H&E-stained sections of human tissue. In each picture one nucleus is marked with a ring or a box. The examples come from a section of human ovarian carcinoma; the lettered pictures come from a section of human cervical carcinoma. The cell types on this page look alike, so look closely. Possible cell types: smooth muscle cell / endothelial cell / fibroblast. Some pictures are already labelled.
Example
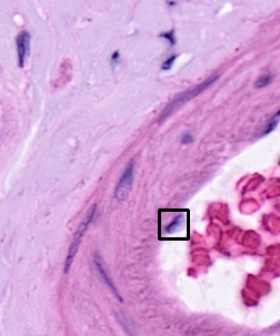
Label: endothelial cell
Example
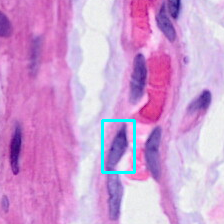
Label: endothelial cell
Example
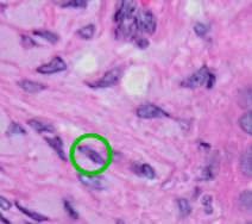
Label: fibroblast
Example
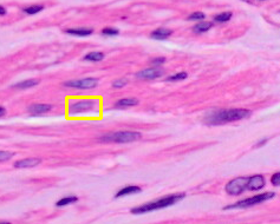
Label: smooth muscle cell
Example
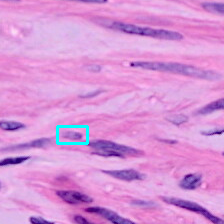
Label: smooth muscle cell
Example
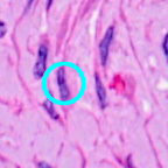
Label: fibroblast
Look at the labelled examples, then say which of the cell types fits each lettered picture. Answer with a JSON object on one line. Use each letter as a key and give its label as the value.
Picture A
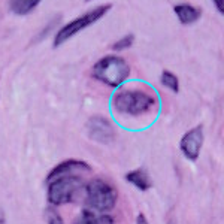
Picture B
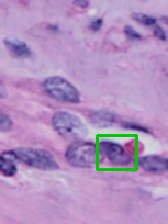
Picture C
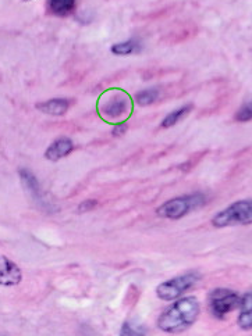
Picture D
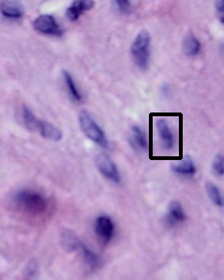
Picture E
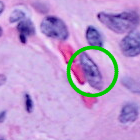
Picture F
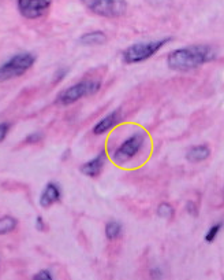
{"A": "endothelial cell", "B": "endothelial cell", "C": "smooth muscle cell", "D": "fibroblast", "E": "endothelial cell", "F": "smooth muscle cell"}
